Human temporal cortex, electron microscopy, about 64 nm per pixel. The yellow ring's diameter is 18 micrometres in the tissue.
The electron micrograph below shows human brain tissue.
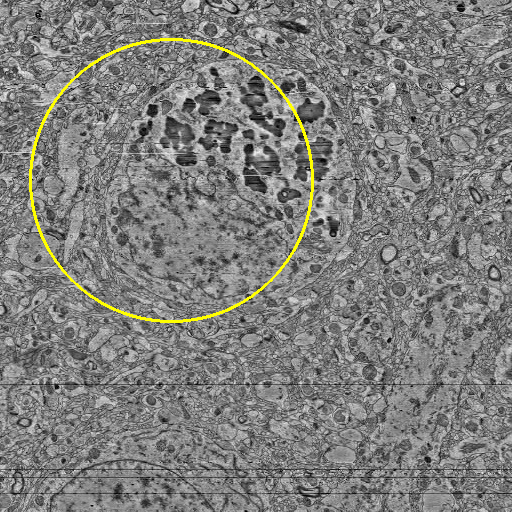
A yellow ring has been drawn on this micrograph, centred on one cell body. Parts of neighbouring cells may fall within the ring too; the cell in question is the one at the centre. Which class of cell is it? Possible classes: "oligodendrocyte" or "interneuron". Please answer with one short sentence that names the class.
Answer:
In the centre of the ring sits an interneuron.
